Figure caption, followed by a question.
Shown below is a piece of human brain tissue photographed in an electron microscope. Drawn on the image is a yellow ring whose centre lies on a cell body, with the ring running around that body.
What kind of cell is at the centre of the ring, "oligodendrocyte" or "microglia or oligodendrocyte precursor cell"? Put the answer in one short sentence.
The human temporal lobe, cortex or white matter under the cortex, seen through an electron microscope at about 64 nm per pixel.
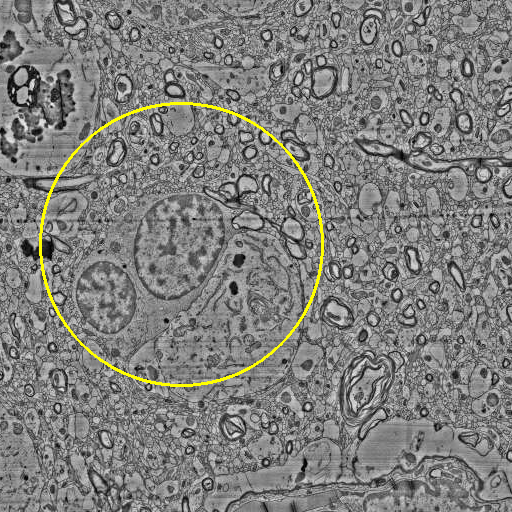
The ring marks the cell body of an oligodendrocyte.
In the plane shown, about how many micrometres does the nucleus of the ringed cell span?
Approximately 7 x 6 micrometres in this plane.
